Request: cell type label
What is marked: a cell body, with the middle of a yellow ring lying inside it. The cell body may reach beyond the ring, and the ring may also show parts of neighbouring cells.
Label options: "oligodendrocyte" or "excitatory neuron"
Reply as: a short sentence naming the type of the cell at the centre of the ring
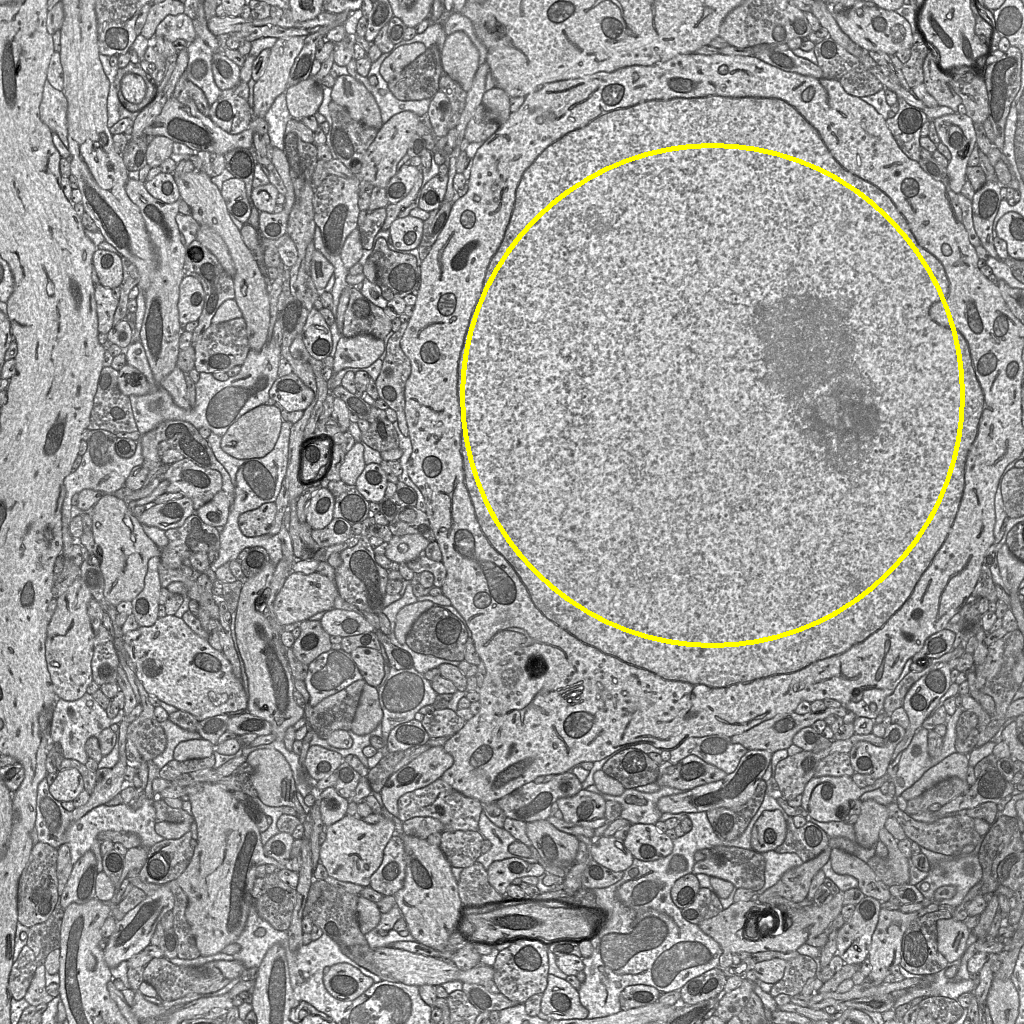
The marked cell body is that of an excitatory neuron.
